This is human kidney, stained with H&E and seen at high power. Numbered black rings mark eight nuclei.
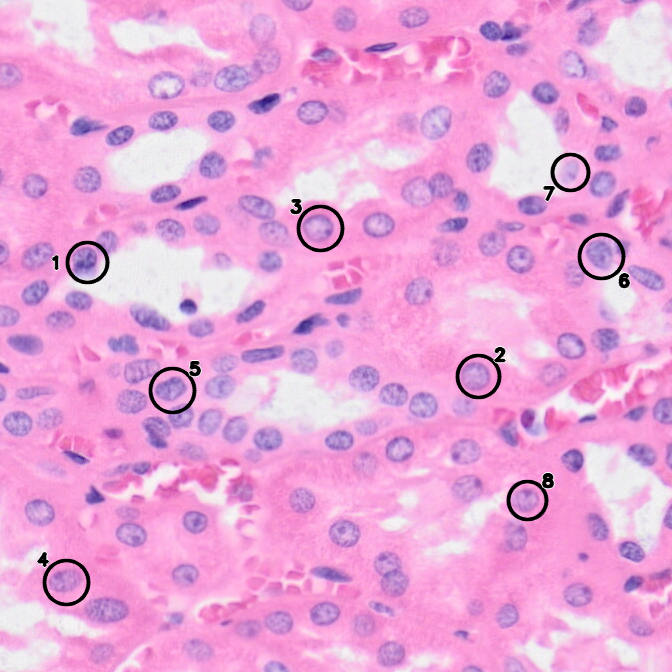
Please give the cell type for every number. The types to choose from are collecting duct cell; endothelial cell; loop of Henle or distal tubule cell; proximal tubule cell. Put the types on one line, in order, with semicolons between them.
loop of Henle or distal tubule cell; proximal tubule cell; proximal tubule cell; proximal tubule cell; collecting duct cell; collecting duct cell; loop of Henle or distal tubule cell; proximal tubule cell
